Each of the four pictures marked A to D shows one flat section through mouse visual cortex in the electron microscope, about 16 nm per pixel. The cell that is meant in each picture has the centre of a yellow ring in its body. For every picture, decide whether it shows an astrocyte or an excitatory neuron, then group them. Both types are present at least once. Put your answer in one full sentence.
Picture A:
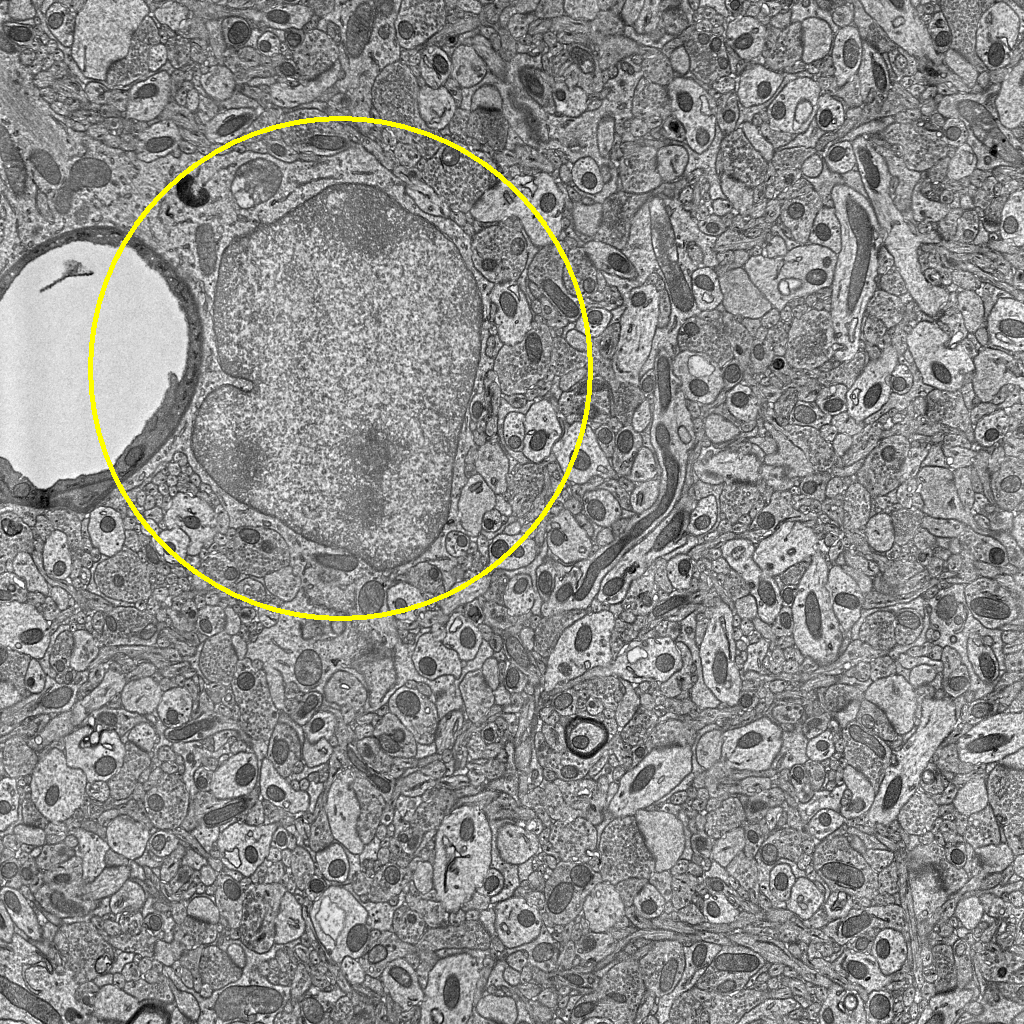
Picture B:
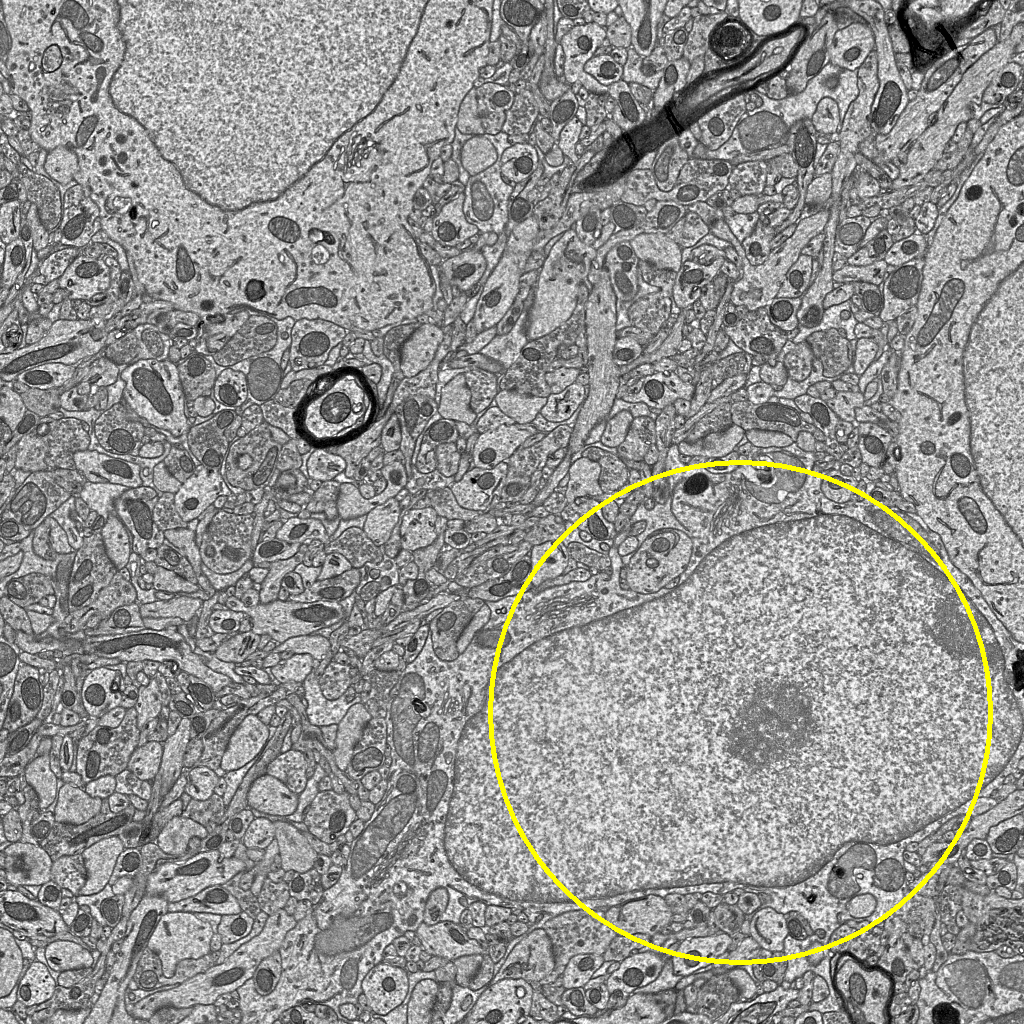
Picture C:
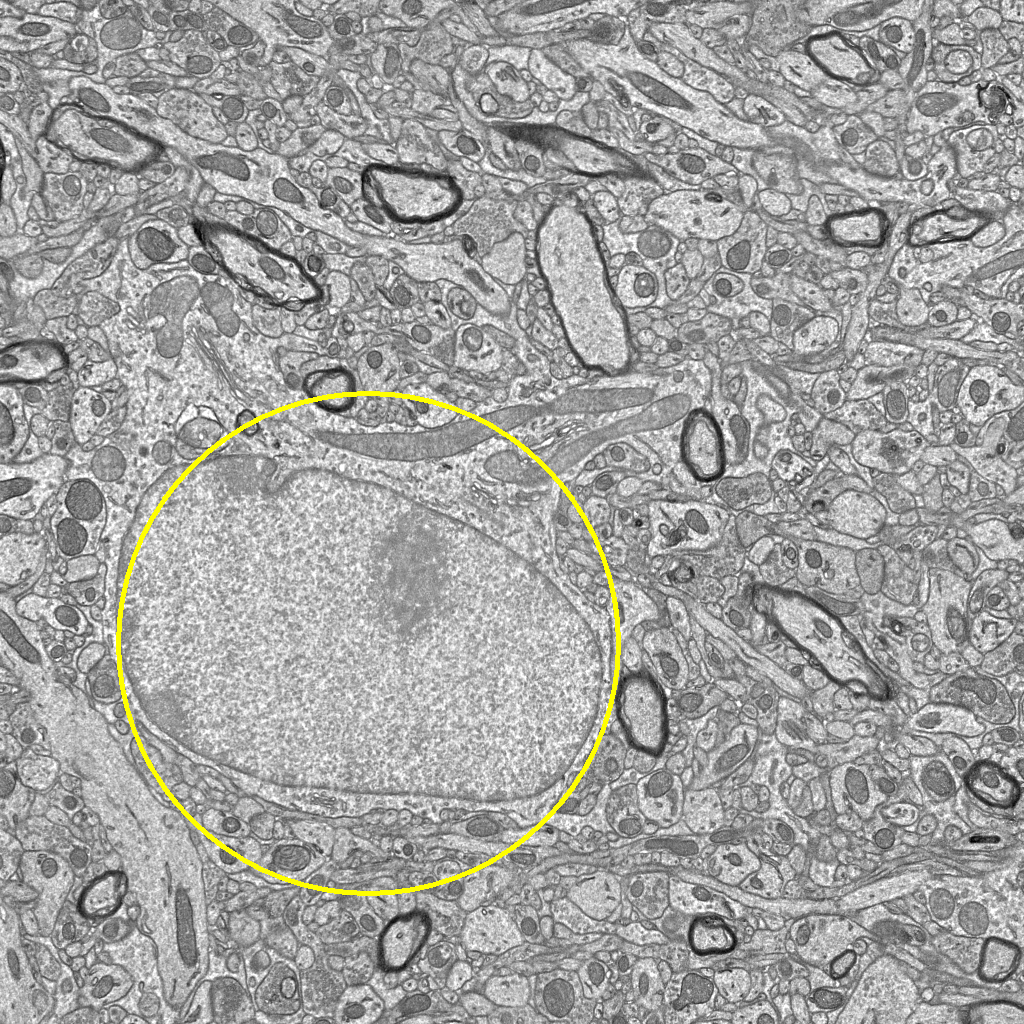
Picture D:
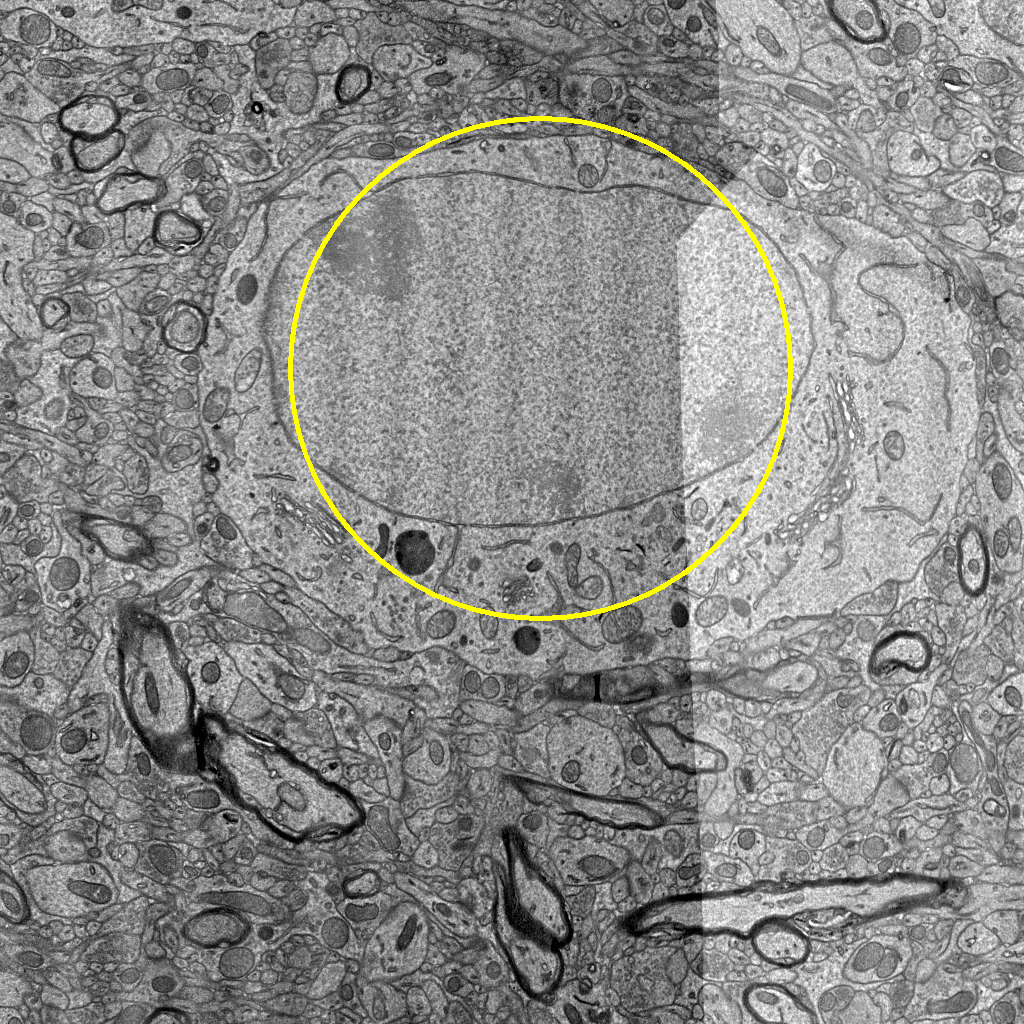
Pictures A, B and C show astrocytes, while picture D shows an excitatory neuron.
